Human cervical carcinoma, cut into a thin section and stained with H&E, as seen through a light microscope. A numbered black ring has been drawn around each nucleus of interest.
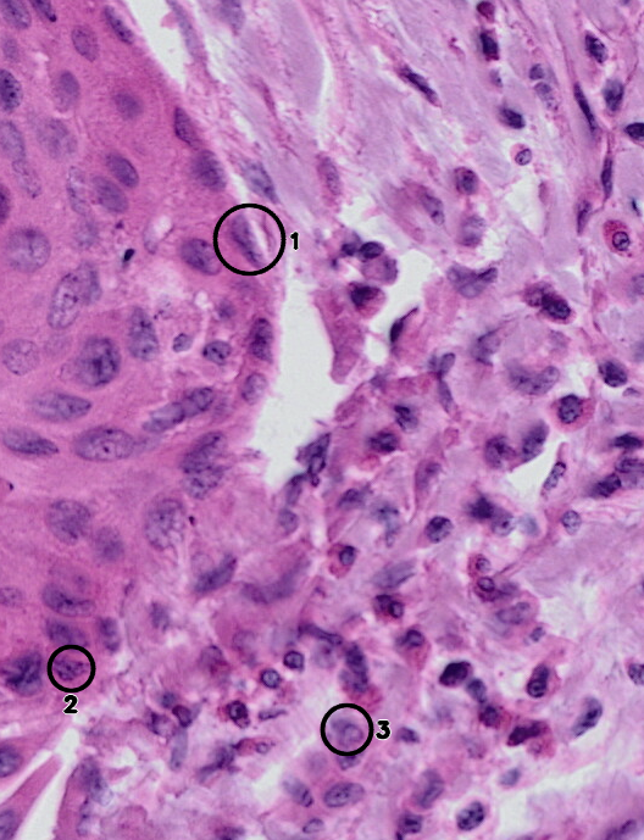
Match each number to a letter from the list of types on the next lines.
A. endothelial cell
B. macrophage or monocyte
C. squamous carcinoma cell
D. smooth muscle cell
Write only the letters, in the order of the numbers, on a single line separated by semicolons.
C; C; A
